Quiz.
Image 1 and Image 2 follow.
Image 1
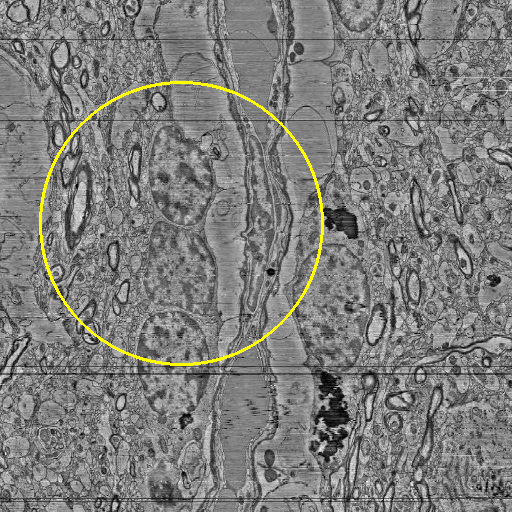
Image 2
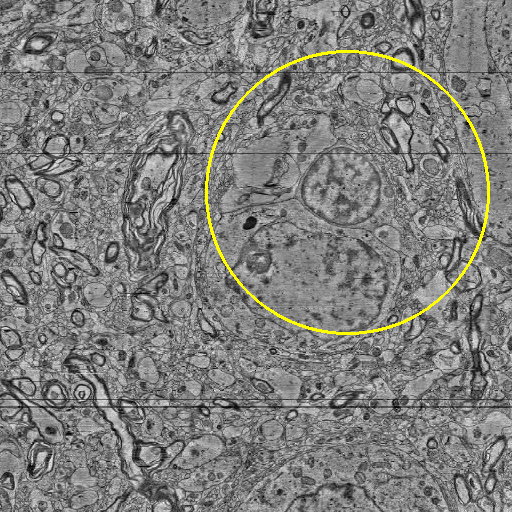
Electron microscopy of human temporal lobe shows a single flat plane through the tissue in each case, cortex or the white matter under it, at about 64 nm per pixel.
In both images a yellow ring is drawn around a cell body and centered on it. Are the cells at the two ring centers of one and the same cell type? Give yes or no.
yes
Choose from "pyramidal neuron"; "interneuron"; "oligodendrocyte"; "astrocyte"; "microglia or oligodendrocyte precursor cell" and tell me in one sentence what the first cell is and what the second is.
In the first picture and in the second, the ring is centred on an oligodendrocyte.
